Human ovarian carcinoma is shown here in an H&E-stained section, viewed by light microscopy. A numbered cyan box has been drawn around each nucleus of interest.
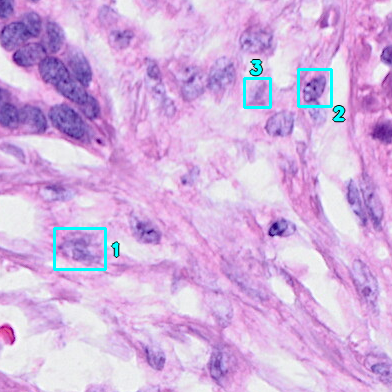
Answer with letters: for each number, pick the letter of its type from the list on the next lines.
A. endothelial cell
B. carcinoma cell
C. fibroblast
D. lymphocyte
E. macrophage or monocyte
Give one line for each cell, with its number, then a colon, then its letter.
1: C
2: E
3: C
